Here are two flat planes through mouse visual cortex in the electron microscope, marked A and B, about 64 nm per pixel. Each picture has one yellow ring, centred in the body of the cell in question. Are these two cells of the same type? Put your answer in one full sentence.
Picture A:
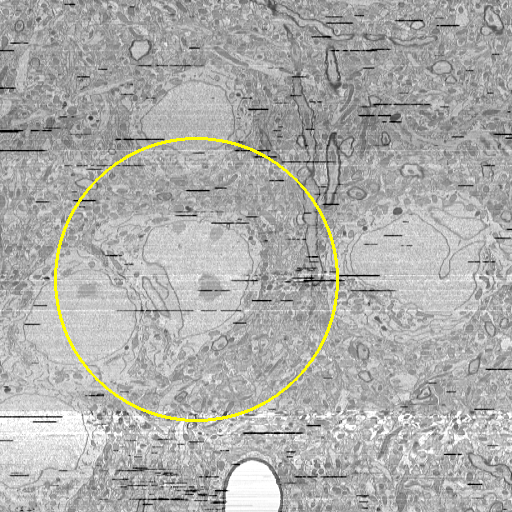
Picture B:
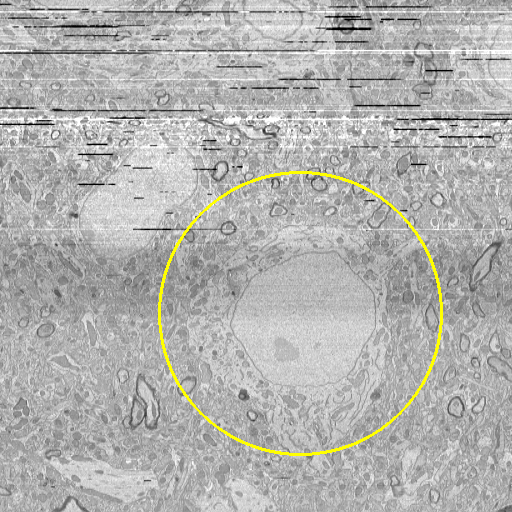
Yes, both cells are excitatory neurons.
